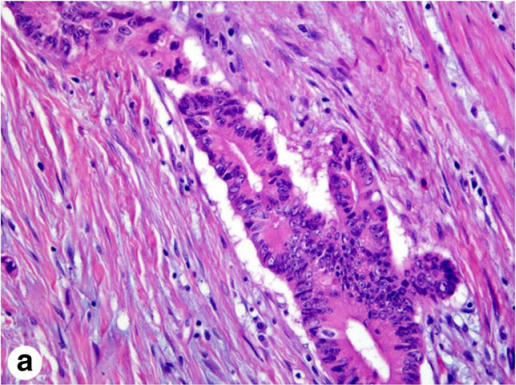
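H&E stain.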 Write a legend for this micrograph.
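Malignant glands of an adenocarcinoma infiltrate a pink, fibrous stroma. The glands are irregular and branching, lined by crowded, stratified columnar cells with enlarged, dark, oval nuclei and pink cytoplasm. The surrounding stroma contains elongated spindle-shaped cells with slender nuclei lying parallel to pink collagen bundles. Small clear spaces and open lumens are seen within and beside the glands.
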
